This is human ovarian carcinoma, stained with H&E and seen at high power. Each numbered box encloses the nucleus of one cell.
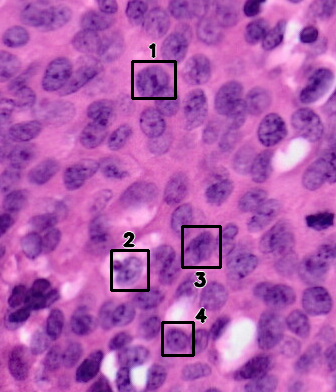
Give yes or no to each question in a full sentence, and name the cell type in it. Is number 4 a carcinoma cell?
Yes, the number 4 belongs to a carcinoma cell.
